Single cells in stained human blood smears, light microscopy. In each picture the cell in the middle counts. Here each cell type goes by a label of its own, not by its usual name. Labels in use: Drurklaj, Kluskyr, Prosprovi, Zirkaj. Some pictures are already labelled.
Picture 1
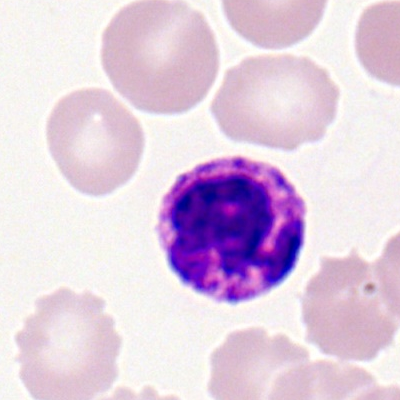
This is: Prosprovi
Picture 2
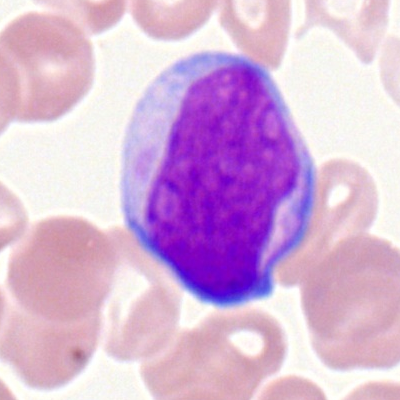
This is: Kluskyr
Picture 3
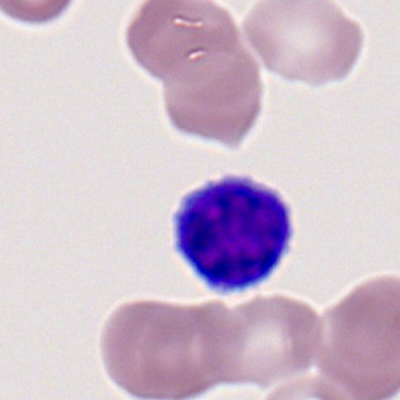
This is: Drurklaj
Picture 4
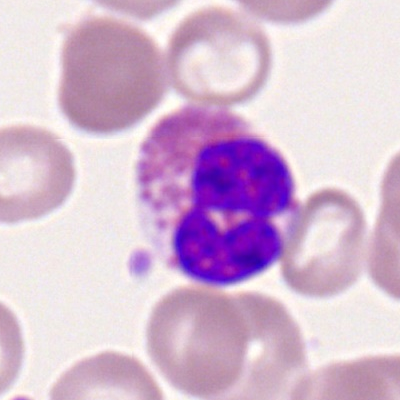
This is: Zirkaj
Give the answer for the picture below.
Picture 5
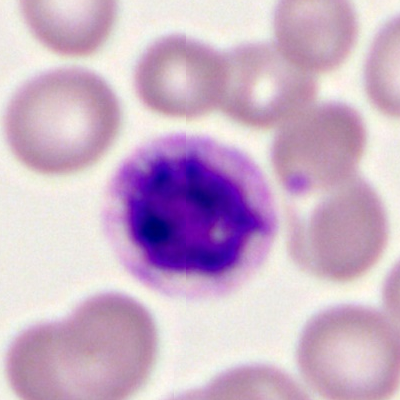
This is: Prosprovi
